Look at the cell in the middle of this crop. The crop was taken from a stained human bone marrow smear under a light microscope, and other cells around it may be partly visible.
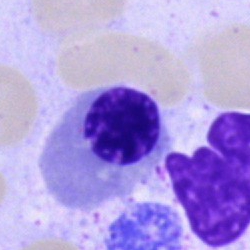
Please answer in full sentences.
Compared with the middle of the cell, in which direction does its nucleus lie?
Toward the upper right of the cell lies its nucleus.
